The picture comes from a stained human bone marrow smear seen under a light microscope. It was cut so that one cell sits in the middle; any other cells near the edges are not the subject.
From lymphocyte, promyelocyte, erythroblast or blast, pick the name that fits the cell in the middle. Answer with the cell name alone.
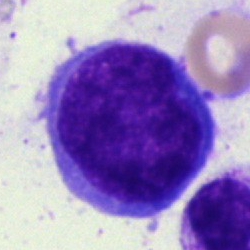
blast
